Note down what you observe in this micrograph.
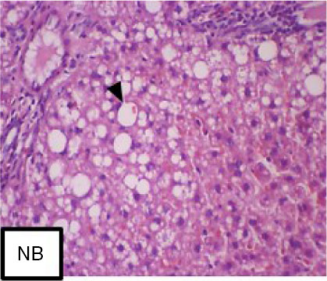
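Liver tissue with hepatocytes containing many lipid vacuoles, seen as round clear spaces of varied size scattered through the pink cytoplasm, with many small fine vacuoles giving parts of the field a foamy look. A portal area at the upper left holds a duct lined by cuboidal cells and a cluster of small dark nuclei.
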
